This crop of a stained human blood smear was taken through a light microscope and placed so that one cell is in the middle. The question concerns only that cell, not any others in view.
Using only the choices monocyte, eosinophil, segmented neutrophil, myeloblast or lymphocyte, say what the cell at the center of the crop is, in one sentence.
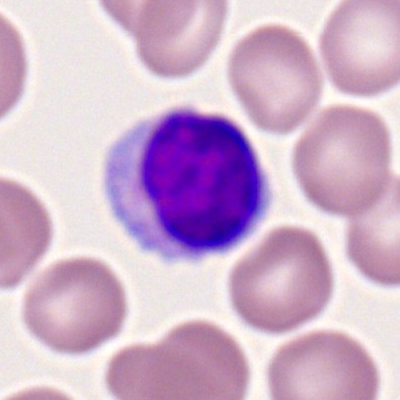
The cell at the middle of the frame should be recorded as a lymphocyte.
